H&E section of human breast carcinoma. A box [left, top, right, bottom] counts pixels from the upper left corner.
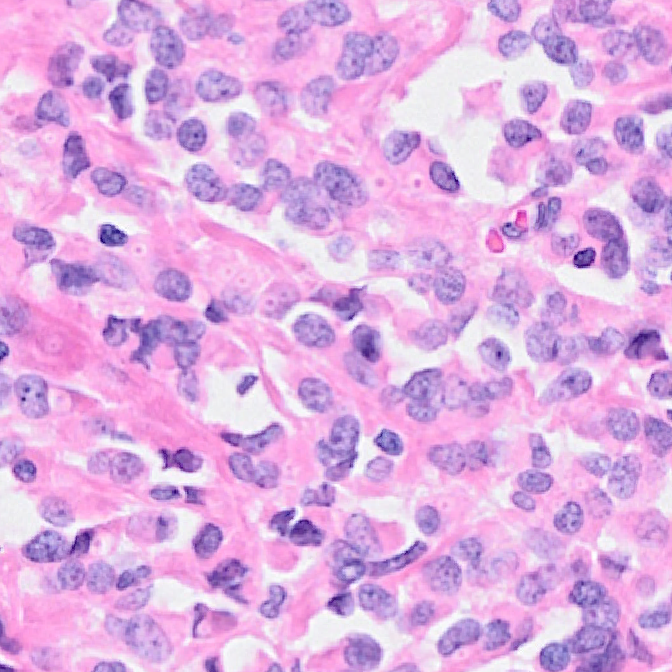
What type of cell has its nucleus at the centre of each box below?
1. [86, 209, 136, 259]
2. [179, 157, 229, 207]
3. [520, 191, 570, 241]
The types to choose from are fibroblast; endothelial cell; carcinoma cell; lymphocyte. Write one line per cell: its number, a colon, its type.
1: lymphocyte
2: carcinoma cell
3: endothelial cell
